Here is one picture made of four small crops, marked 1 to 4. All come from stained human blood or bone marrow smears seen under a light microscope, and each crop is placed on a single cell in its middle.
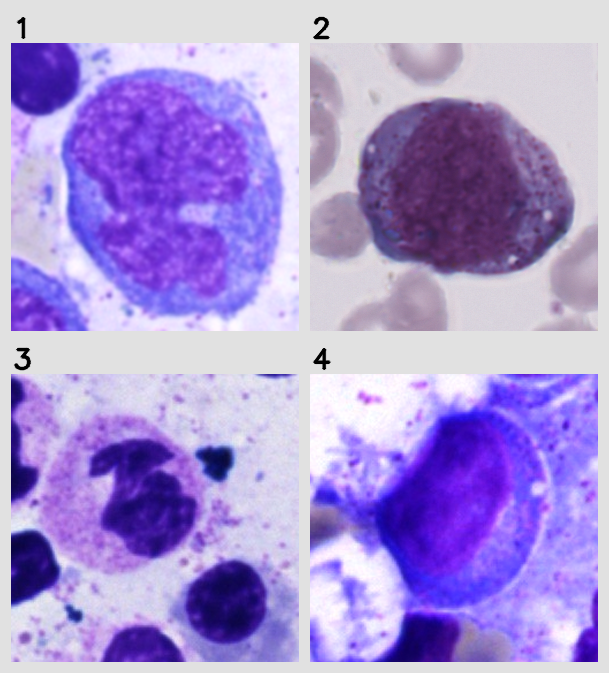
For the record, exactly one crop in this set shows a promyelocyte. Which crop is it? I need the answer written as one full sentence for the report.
In the set of crops, crop 2 is the one that contains a promyelocyte.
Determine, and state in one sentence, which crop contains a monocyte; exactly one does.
The crop in which a monocyte is shown is crop 1.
